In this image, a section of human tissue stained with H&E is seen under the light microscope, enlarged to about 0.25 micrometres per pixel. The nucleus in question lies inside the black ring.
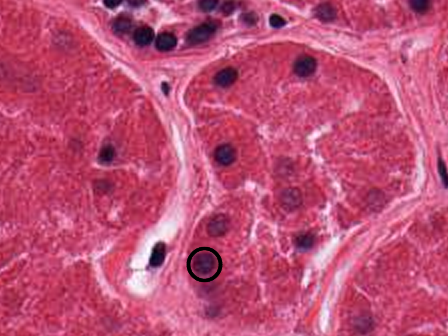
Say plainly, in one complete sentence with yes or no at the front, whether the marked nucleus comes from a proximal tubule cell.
Yes, the marked nucleus is housed in a proximal tubule cell.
